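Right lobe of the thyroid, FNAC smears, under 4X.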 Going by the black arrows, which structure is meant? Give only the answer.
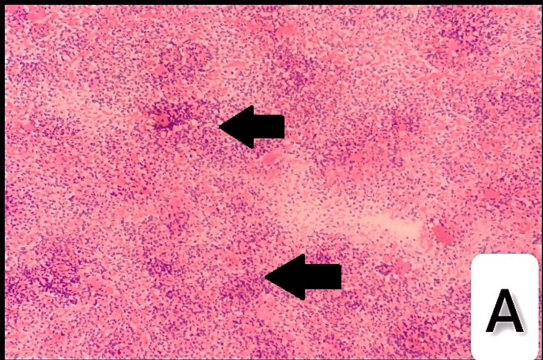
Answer: Loosely cohesive clusters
